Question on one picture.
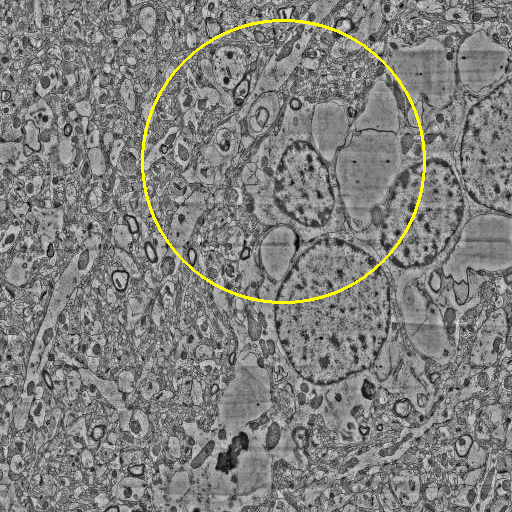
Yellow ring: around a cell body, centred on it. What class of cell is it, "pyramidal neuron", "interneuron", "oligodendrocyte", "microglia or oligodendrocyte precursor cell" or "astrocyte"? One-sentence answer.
This is an astrocyte, the cell the ring is centred on.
